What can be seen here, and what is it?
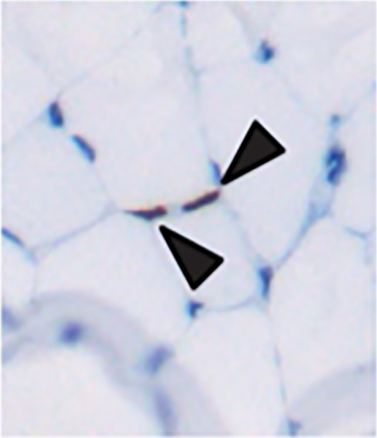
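This is muscle cut in cross-section, with large pale polygonal fibres fitted closely together. Their nuclei are small, dark blue and mostly flattened, sitting at the very edge of each fibre or in the narrow spaces between neighbours rather than in the fibre centre. Along the border of one fibre a couple of elongated nuclei are stained brown instead of blue, lying snugly against the fibre surface; the arrowheads flag these. The fibres themselves are unstained apart from their faint outlines, and a greyish curved structure crosses the lower left corner.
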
